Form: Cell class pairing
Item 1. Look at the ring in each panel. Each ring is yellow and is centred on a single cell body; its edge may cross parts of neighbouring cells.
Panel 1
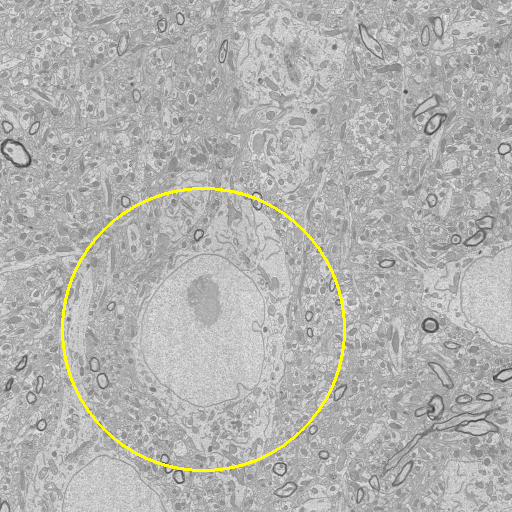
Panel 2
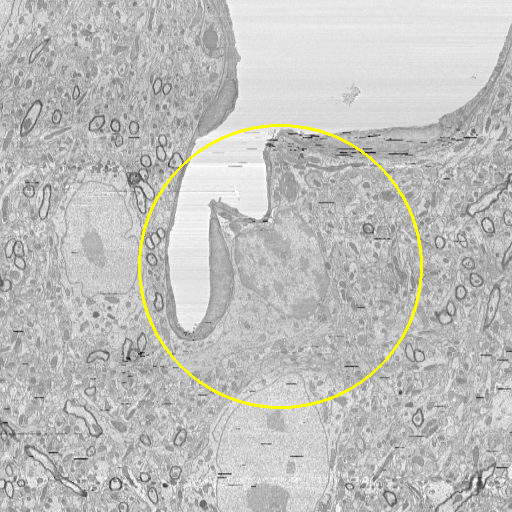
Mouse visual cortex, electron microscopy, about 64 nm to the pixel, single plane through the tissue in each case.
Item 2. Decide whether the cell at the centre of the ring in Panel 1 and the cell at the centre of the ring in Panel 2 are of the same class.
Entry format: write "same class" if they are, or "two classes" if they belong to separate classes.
two classes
